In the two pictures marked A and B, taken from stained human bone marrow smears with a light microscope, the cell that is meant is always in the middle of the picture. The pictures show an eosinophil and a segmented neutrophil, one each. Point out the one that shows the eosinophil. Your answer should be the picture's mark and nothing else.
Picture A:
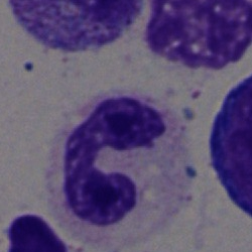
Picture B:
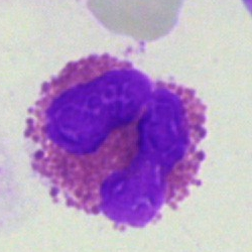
B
